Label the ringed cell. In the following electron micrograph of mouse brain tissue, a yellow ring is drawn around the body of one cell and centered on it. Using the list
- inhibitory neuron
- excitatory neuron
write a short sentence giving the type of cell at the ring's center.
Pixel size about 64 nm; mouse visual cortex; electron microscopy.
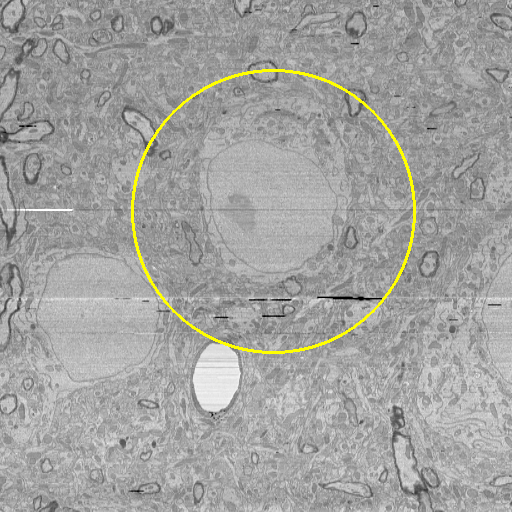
The cell body at the ring's center is that of an excitatory neuron.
